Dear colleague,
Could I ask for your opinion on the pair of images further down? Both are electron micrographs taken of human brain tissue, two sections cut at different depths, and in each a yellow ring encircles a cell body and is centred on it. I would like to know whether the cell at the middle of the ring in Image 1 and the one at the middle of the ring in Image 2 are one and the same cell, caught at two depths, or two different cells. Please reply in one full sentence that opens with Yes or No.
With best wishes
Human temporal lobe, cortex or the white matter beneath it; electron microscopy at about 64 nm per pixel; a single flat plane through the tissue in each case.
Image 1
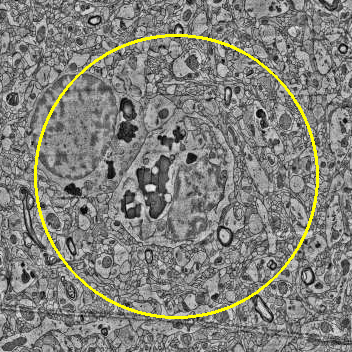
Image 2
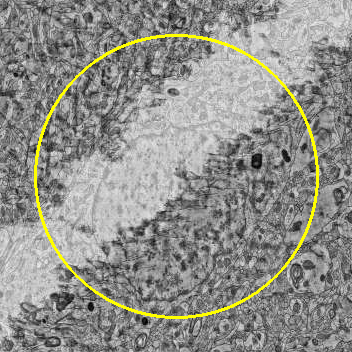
No, one ring and the other ring mark two distinct cells.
